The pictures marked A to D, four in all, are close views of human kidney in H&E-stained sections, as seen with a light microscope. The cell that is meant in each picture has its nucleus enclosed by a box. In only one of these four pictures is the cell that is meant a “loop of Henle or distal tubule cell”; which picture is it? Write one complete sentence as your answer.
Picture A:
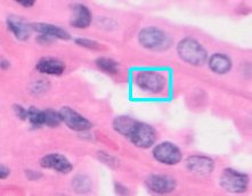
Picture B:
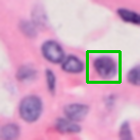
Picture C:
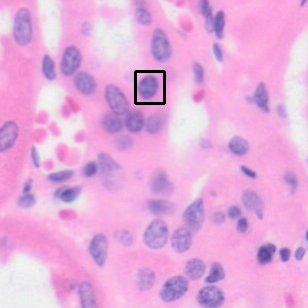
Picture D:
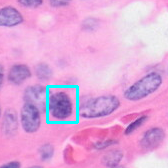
The “loop of Henle or distal tubule cell” is the one in picture A.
